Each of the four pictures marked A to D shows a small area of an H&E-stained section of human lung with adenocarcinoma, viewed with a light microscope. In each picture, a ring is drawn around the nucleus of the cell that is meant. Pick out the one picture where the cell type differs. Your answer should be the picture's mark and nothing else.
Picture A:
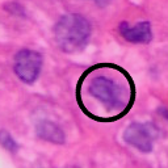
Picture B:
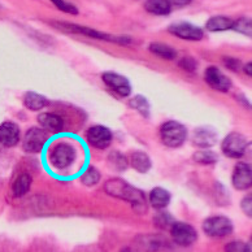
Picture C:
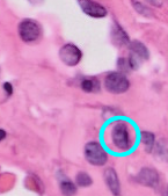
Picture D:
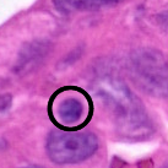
A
